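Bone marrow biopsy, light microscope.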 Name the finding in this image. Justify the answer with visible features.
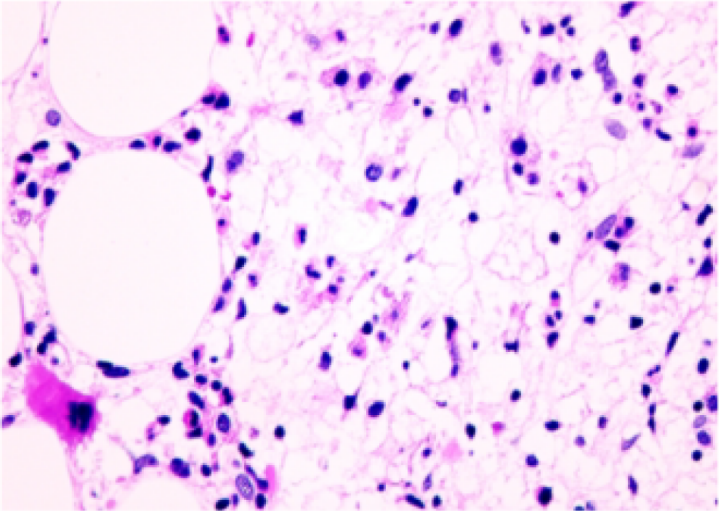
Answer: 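Much of the field between the cells is pale, loose and finely fibrillar pink material. Haematopoietic cells are sparse and widely spaced within this pale stroma. The answer: serous degeneration.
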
